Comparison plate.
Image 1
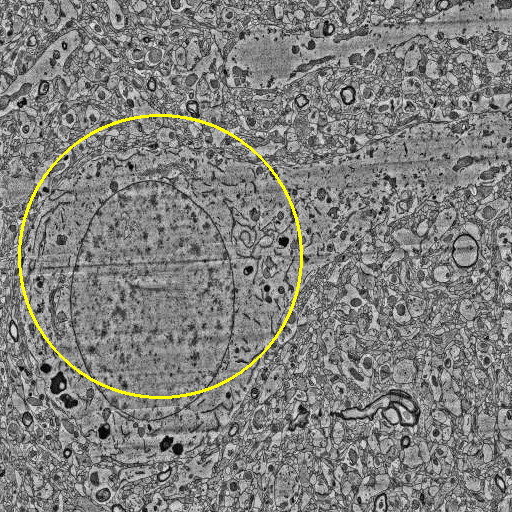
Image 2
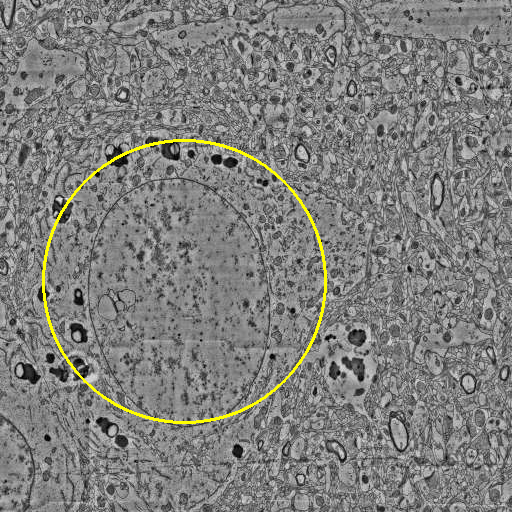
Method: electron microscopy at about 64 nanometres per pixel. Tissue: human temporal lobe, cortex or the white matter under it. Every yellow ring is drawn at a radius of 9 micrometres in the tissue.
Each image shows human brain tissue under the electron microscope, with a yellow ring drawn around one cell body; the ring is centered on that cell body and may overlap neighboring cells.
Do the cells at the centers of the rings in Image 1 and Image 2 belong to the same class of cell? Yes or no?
yes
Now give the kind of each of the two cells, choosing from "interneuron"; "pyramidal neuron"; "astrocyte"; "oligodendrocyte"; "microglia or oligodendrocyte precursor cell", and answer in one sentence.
Both pictures show a pyramidal neuron at the centre of the ring.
